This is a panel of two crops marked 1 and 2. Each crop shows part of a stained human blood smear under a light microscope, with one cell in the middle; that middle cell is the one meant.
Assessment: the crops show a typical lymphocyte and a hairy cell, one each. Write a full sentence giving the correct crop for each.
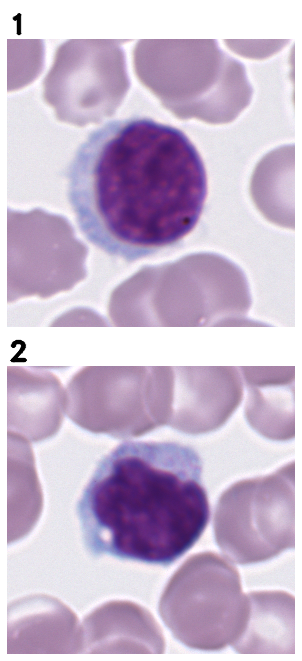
Crop 1 is a hairy cell, whilst crop 2 is a typical lymphocyte.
